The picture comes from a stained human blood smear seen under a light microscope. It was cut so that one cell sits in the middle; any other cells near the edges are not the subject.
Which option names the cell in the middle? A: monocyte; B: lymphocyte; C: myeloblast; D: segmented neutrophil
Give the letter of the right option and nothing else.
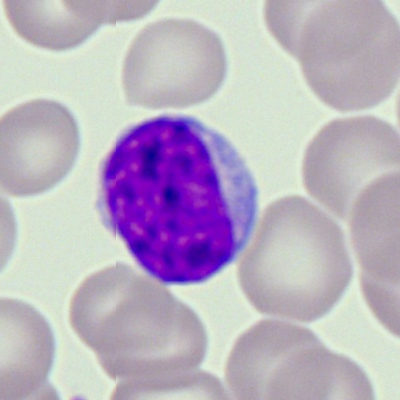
B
